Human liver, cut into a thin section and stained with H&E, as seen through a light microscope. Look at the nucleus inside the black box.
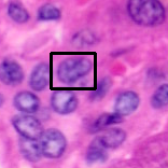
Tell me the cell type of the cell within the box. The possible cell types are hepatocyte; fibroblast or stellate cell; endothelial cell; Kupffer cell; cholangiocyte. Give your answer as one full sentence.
It is a cholangiocyte that the cell within the box represents.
